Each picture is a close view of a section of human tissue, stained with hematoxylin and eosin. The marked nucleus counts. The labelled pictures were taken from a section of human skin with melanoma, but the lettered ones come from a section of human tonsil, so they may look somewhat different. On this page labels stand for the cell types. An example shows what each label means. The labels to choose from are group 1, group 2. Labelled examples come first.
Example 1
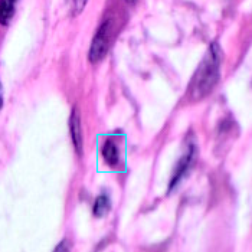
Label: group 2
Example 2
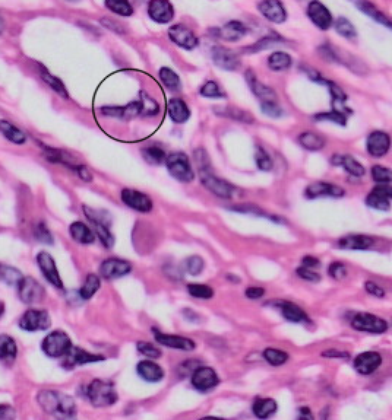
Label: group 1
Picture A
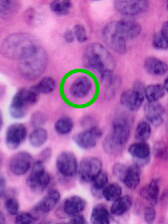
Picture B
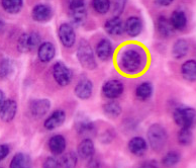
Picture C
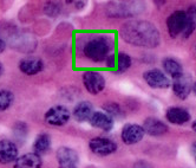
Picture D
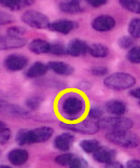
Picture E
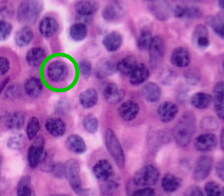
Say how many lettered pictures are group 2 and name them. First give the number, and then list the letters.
Count: 3 (B, D, E)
